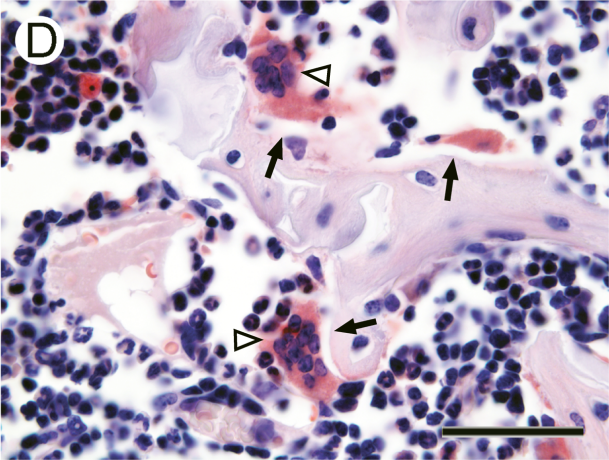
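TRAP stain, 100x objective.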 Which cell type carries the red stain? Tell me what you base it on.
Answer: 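The red cells contain clusters of several nuclei. They are much larger than the surrounding marrow cells.
Osteoclasts.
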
